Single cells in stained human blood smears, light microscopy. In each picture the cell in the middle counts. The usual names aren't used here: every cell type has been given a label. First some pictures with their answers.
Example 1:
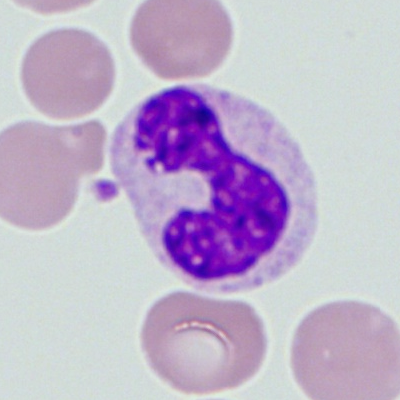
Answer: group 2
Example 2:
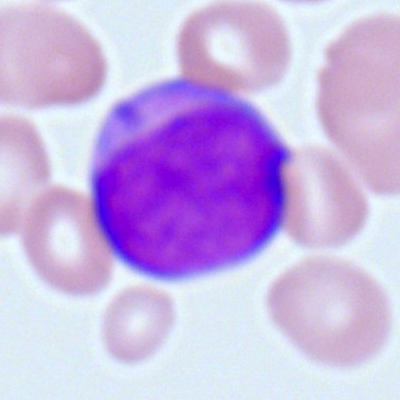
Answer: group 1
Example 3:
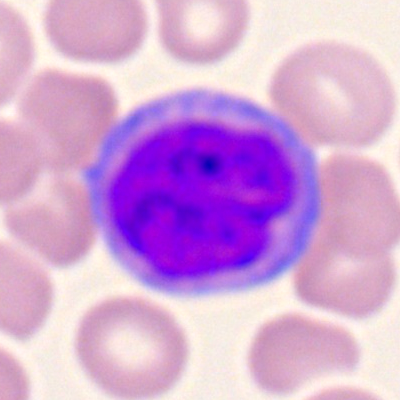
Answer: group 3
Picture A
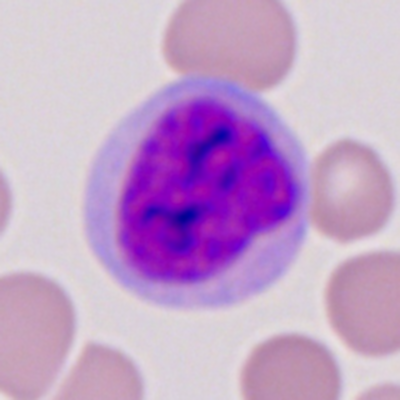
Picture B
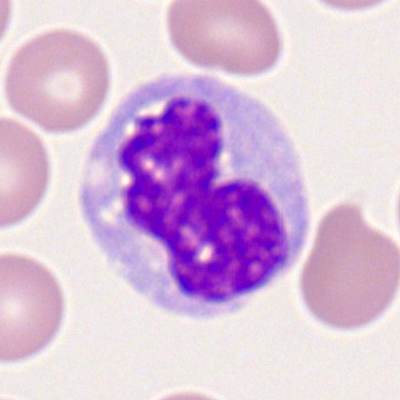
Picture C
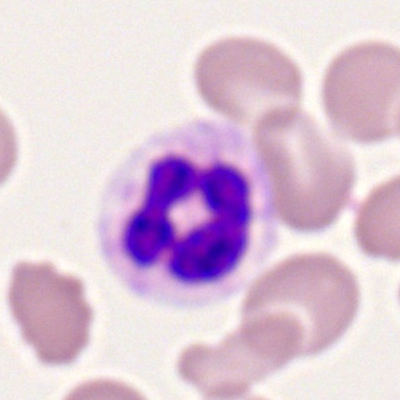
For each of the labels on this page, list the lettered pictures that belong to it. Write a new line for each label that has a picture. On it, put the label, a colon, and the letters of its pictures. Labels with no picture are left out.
group 2: C
group 3: A, B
